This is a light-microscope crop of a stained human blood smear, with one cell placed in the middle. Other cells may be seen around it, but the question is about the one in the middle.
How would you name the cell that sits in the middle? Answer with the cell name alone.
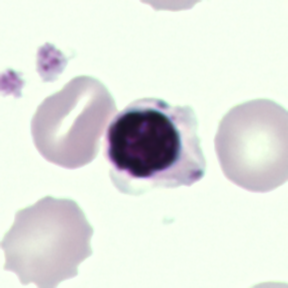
erythroblast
